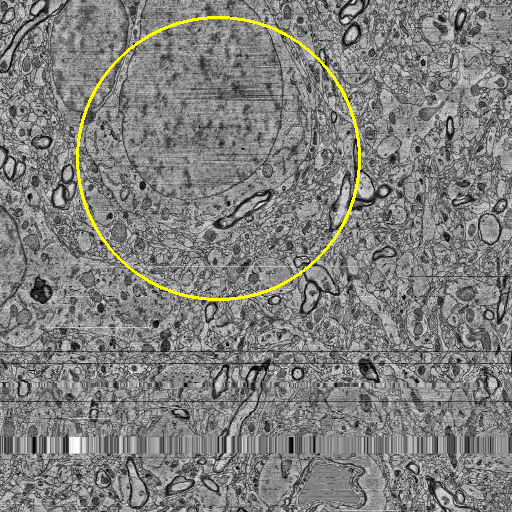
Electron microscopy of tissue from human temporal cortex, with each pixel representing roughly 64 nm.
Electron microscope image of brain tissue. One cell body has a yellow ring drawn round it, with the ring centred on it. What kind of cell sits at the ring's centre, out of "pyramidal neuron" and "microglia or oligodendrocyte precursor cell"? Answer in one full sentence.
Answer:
It is a pyramidal neuron whose cell body sits at the centre of the yellow ring.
